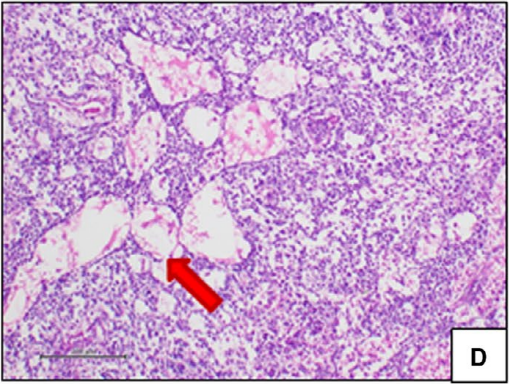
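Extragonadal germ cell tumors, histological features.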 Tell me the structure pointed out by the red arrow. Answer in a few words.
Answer: cystic architectural pattern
